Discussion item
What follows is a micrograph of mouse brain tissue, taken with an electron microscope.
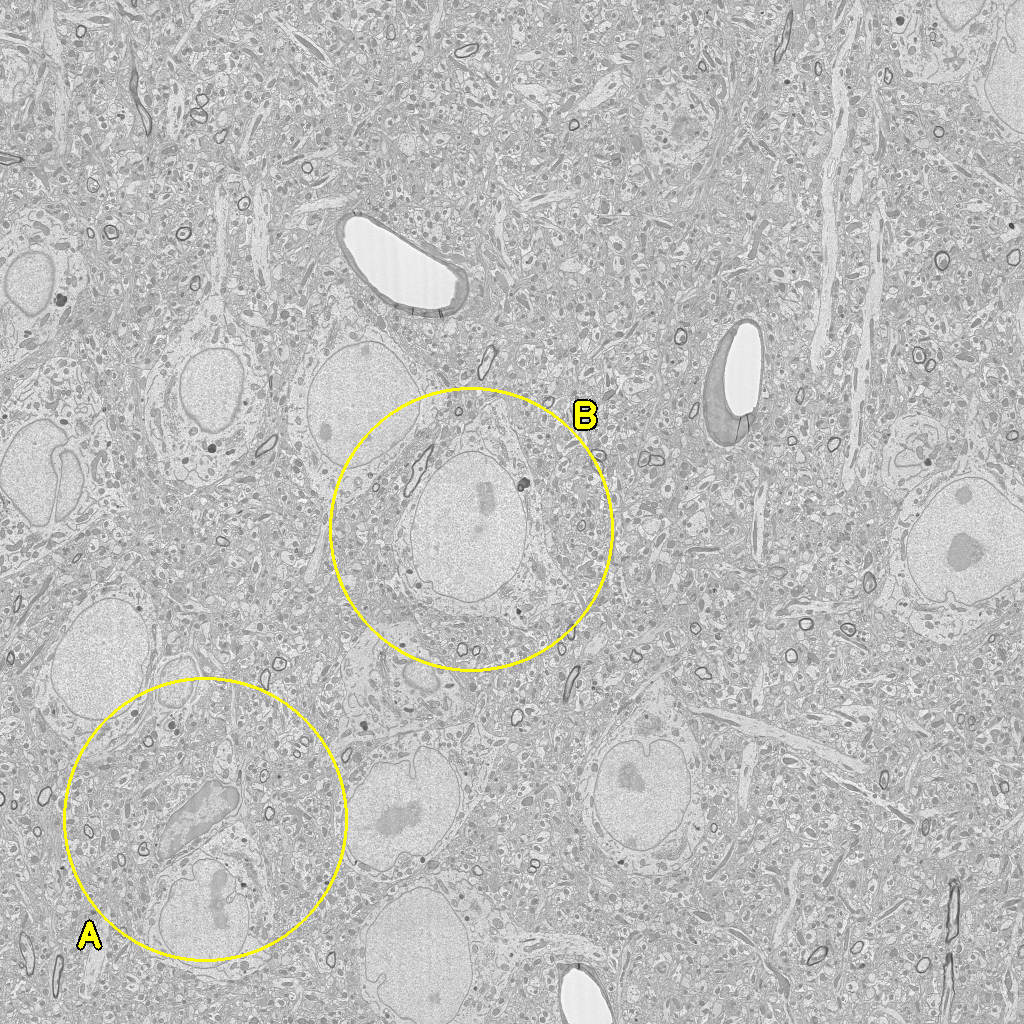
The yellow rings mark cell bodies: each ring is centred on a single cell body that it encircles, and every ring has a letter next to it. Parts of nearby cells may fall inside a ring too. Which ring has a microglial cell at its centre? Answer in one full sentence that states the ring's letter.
Ring A is the ring whose centre falls on the cell the question asks about.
